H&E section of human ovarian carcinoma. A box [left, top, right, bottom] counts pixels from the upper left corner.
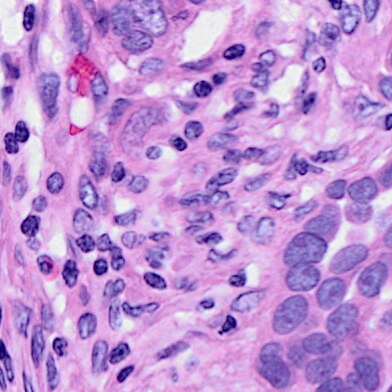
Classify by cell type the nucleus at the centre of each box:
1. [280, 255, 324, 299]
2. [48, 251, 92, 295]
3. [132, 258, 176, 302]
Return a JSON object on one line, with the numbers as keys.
{"1": "carcinoma cell", "2": "lymphocyte", "3": "lymphocyte"}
